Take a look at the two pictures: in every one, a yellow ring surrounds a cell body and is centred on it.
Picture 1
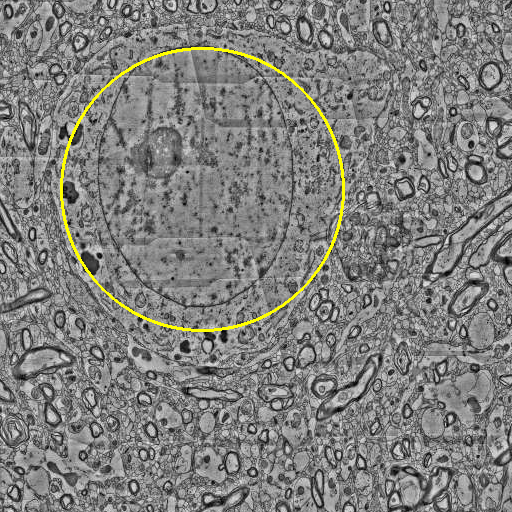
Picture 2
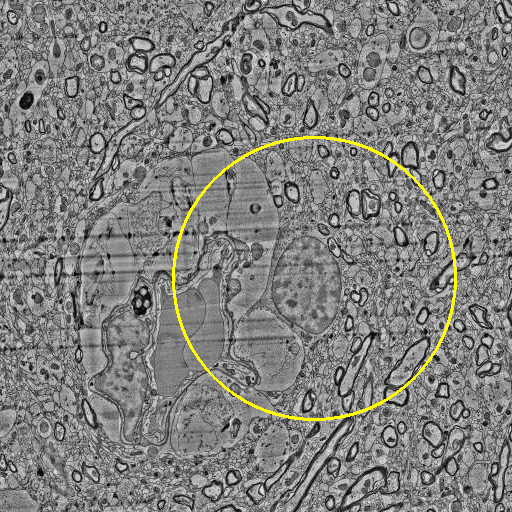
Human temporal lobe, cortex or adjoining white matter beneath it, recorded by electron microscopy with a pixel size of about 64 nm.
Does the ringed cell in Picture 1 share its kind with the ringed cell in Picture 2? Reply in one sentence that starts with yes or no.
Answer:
No, the two centred cells, one per picture, are of two kinds.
